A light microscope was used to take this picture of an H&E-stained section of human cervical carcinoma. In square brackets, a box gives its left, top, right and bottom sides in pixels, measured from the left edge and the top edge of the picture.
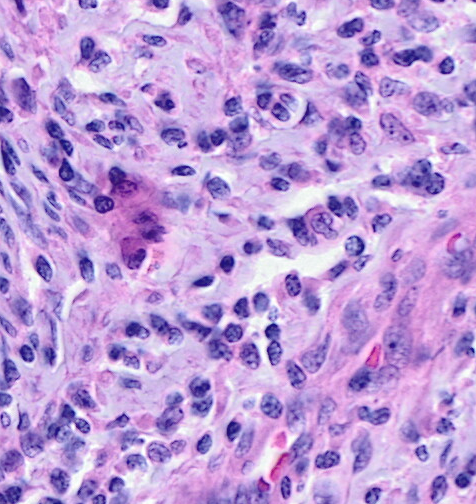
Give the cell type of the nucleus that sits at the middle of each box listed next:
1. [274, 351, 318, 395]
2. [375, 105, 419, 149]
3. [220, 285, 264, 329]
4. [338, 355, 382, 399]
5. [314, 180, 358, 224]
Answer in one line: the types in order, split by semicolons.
lymphocyte; macrophage or monocyte; lymphocyte; endothelial cell; lymphocyte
